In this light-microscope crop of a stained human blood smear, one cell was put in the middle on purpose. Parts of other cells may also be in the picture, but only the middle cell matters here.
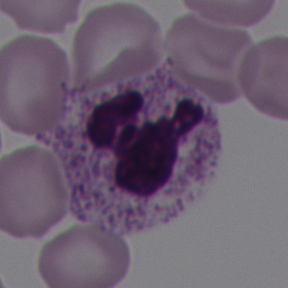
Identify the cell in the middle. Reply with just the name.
neutrophil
